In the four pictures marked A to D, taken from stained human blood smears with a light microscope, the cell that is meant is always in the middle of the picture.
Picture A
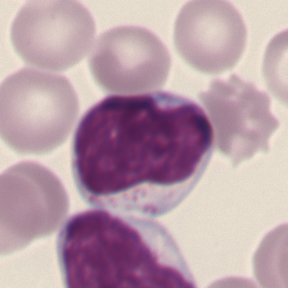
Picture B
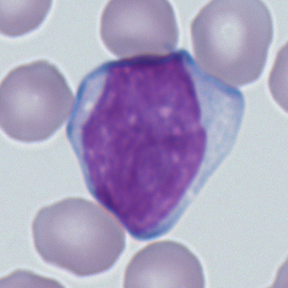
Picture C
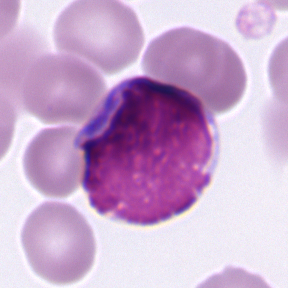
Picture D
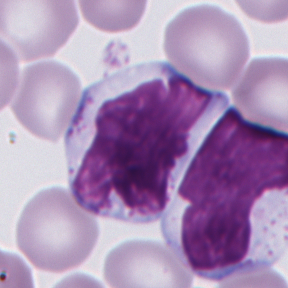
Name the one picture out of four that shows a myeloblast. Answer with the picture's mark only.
B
